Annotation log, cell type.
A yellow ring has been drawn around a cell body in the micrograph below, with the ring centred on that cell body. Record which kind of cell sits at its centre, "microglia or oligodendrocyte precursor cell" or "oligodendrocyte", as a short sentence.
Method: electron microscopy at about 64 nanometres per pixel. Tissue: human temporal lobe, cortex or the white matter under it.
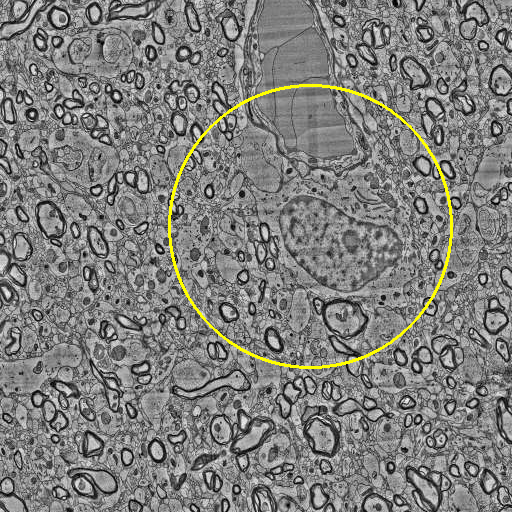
The cell at the centre of this ring is a microglial cell or oligodendrocyte precursor cell.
